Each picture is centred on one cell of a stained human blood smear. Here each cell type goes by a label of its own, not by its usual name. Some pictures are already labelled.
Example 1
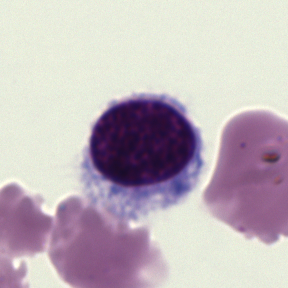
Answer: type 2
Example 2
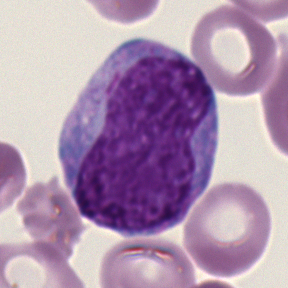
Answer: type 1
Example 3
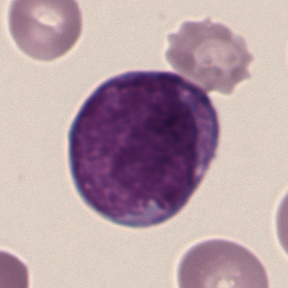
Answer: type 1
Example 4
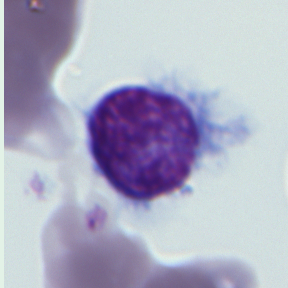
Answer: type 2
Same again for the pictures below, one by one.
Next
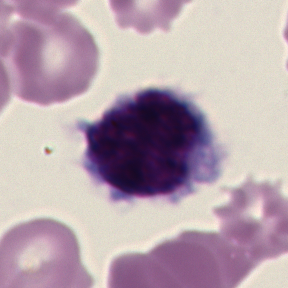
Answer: type 2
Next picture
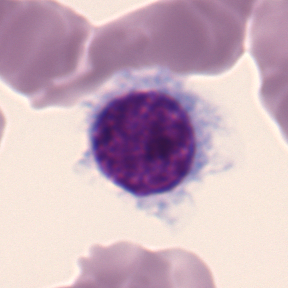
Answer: type 2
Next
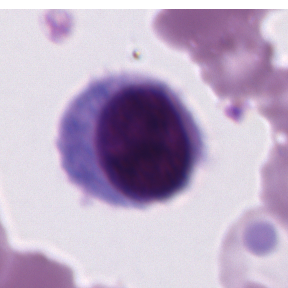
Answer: type 2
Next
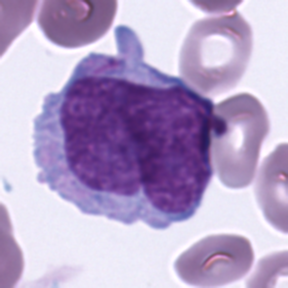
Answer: type 1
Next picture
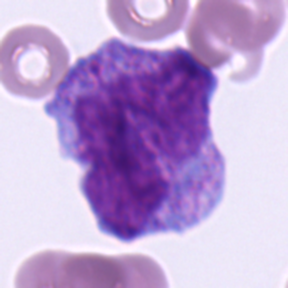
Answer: type 1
